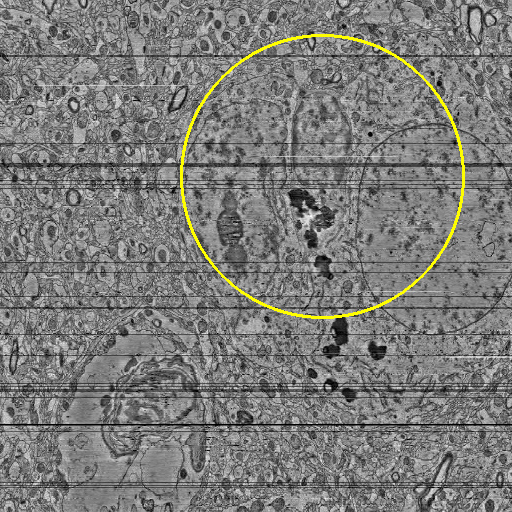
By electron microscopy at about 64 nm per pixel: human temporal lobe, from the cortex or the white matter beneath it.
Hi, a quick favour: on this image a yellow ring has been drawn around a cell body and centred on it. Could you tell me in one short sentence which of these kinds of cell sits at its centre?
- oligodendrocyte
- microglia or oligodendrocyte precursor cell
The ring is centred on an oligodendrocyte.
